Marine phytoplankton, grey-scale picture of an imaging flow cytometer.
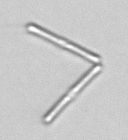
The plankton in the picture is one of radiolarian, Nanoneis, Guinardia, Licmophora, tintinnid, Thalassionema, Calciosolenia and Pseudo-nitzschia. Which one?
Nanoneis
